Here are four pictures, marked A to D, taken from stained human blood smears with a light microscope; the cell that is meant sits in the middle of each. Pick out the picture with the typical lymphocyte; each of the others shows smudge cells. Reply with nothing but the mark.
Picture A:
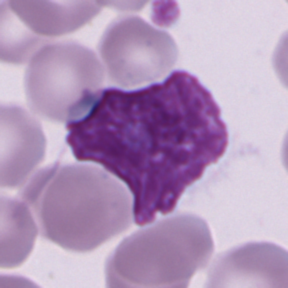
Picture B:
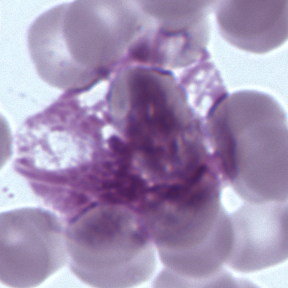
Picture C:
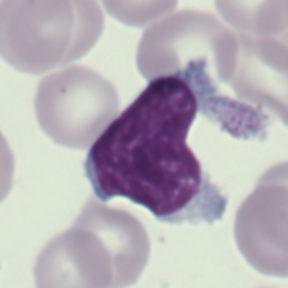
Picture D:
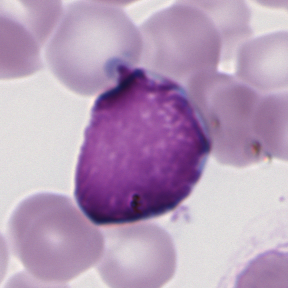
C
